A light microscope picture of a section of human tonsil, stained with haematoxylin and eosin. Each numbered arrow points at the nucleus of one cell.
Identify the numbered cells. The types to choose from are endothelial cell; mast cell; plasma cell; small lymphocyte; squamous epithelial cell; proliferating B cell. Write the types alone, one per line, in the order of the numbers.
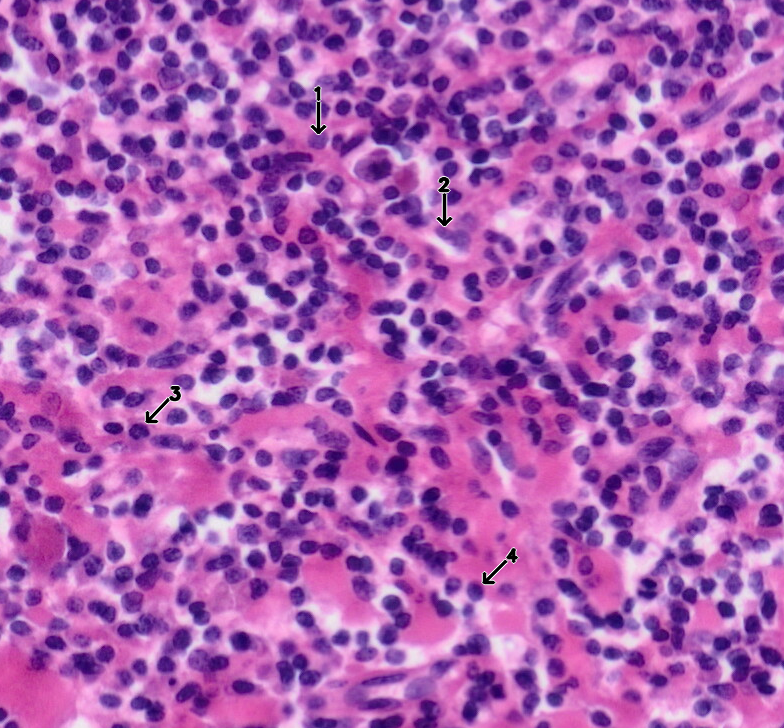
endothelial cell
endothelial cell
plasma cell
mast cell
